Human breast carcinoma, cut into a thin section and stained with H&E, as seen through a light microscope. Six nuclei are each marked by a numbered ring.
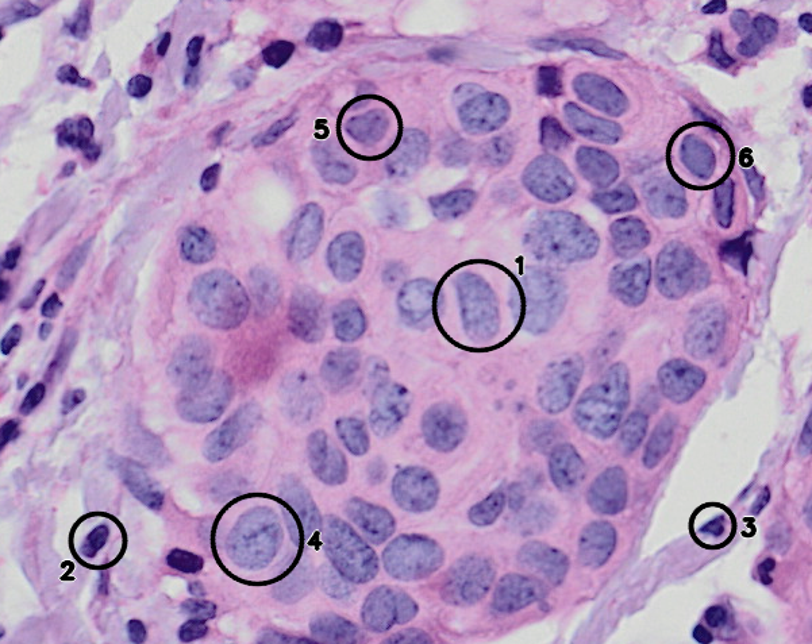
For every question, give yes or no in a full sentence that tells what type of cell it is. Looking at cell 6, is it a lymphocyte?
No, the cell tagged 6 is a carcinoma cell, and not a lymphocyte.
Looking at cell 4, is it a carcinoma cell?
Yes, the cell whose nucleus carries number 4 is a carcinoma cell.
